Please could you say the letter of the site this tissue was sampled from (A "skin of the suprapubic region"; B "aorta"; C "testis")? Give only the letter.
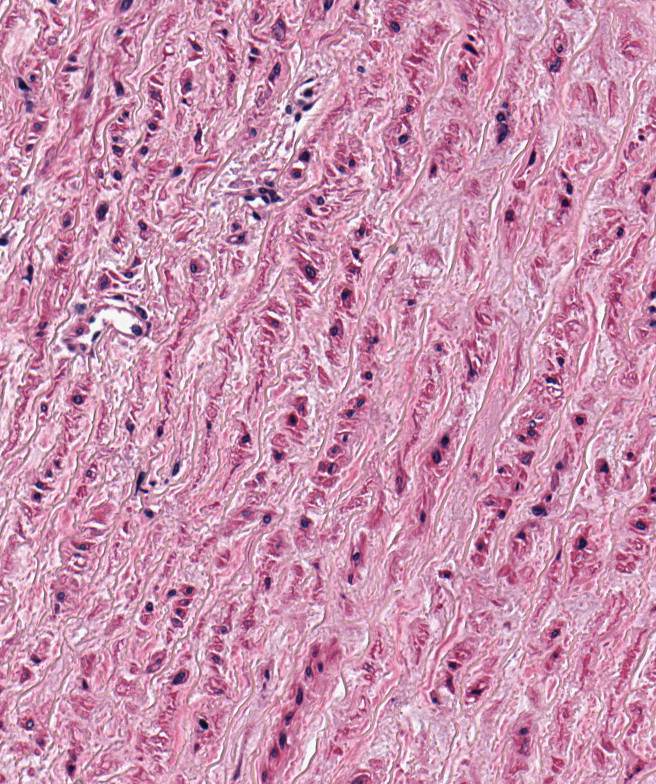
B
